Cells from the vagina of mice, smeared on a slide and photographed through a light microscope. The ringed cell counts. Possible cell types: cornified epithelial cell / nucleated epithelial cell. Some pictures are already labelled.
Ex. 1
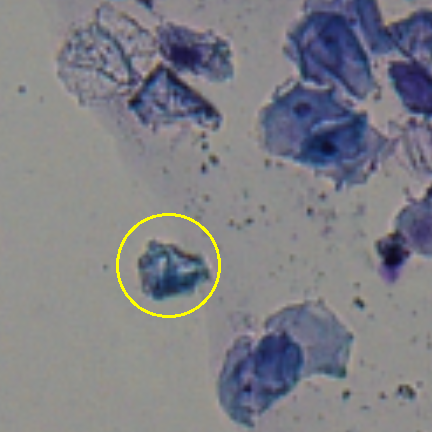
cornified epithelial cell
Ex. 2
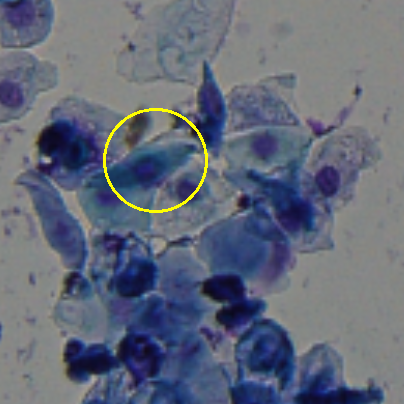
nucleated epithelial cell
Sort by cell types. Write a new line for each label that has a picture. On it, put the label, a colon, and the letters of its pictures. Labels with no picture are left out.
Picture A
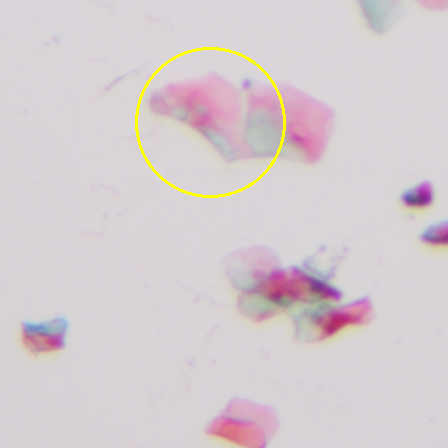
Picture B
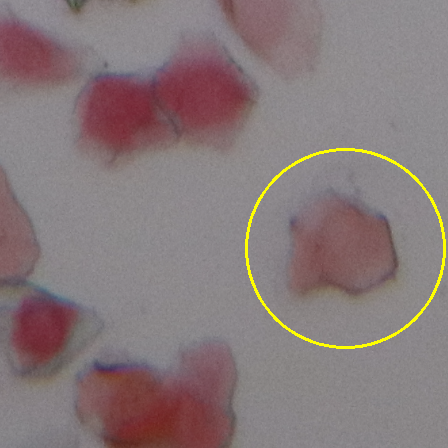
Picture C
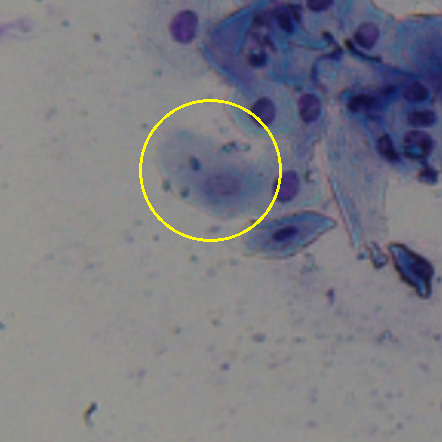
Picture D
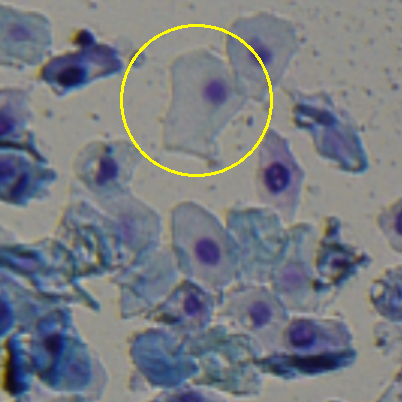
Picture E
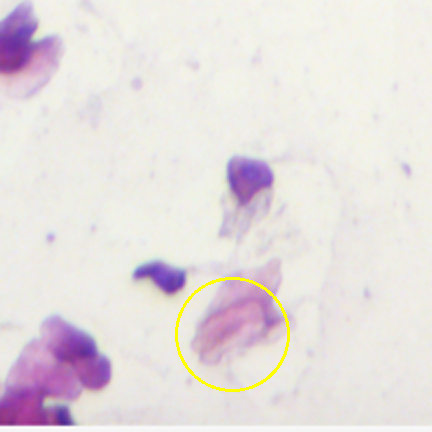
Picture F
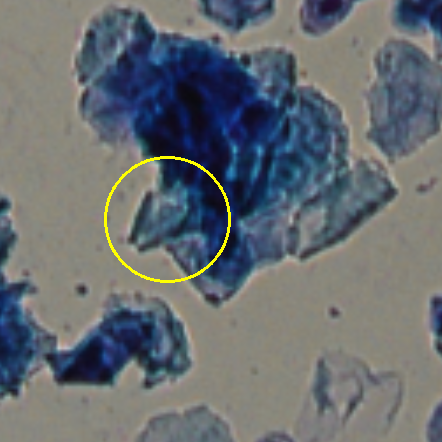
cornified epithelial cell: A, B, E, F
nucleated epithelial cell: C, D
